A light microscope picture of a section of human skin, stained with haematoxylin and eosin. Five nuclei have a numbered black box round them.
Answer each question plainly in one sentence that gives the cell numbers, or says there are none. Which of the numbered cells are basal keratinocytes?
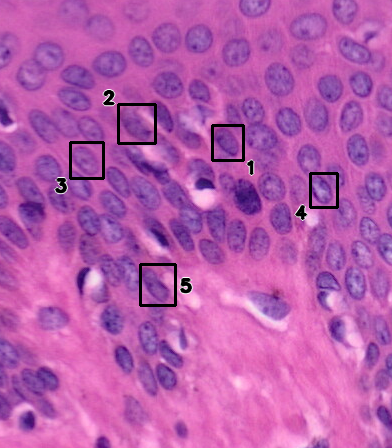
The identity of cells 1, 2 and 5: they are basal keratinocytes.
